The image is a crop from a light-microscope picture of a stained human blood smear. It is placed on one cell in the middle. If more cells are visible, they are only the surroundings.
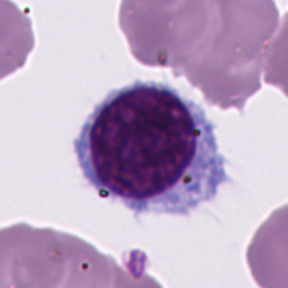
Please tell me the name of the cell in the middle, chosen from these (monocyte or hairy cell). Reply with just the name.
hairy cell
